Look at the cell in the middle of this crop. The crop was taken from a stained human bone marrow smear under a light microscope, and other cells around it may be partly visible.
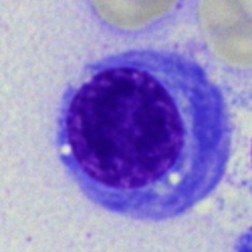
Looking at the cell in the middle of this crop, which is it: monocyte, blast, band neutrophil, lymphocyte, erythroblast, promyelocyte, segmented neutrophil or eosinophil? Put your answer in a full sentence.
In the crop, the cell of interest at the centre is an erythroblast.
